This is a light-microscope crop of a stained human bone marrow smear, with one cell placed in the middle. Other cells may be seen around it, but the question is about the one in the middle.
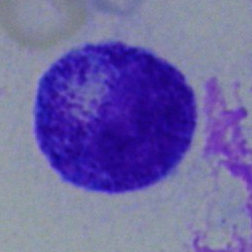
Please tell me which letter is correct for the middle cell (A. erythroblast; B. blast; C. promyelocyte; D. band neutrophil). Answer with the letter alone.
C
